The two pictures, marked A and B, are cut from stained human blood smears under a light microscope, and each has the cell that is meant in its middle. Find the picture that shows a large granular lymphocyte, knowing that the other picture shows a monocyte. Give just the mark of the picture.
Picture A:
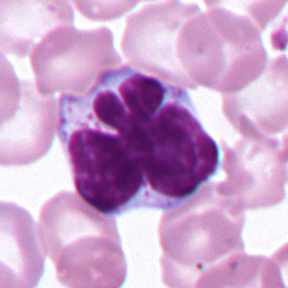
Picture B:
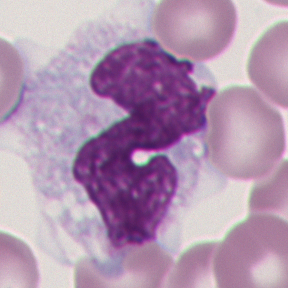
A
